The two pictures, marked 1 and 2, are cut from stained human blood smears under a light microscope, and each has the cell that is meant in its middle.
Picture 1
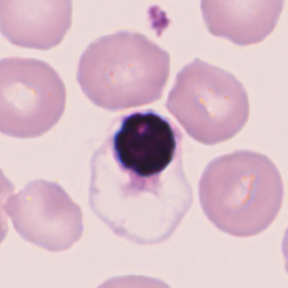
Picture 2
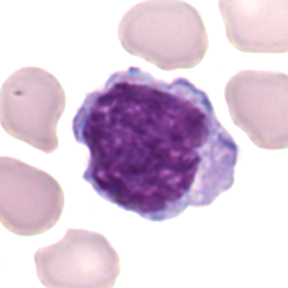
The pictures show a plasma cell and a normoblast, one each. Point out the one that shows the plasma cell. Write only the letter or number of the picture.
2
